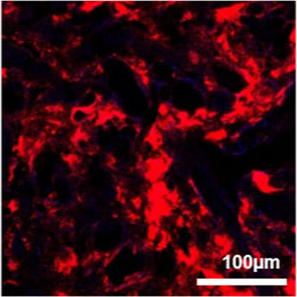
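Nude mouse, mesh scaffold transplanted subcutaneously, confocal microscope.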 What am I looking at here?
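The red signal forms irregular, branching clusters and patches rather than evenly spaced single cells. Some clusters merge into larger bright masses, while thinner red strands run between them. Dark, roughly rounded and elongated spaces separate the red areas, giving the field a patchy, network-like pattern. Individual cell outlines are only occasionally distinguishable within the dense red aggregates.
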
